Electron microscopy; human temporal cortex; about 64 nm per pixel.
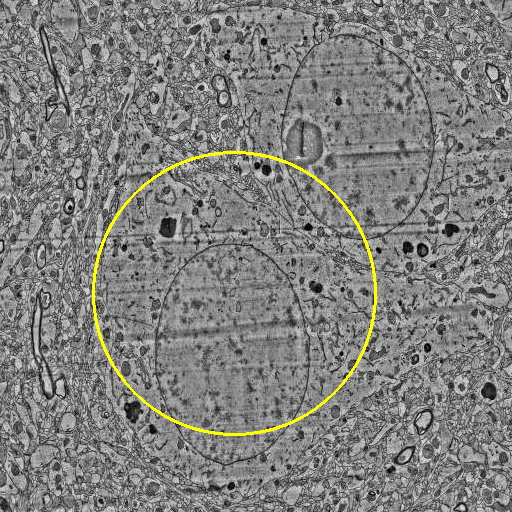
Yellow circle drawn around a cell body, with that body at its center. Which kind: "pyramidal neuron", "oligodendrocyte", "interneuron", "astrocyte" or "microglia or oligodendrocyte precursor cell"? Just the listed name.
pyramidal neuron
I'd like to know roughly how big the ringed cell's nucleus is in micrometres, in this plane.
The nucleus appears roughly 14 by 10 micrometres in this plane.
